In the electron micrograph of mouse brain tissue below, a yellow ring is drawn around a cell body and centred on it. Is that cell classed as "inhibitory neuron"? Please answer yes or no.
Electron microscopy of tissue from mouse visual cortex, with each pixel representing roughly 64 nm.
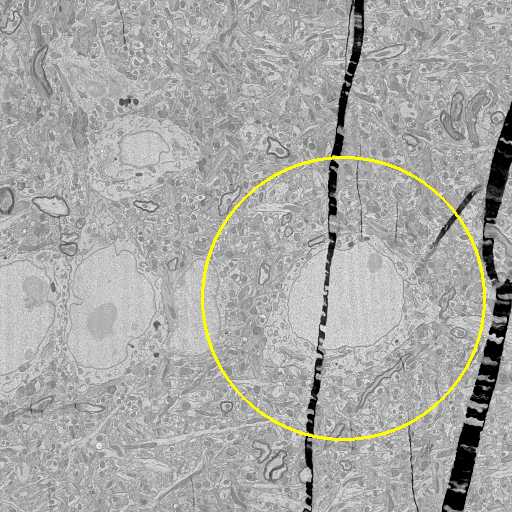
no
